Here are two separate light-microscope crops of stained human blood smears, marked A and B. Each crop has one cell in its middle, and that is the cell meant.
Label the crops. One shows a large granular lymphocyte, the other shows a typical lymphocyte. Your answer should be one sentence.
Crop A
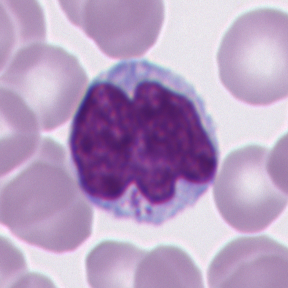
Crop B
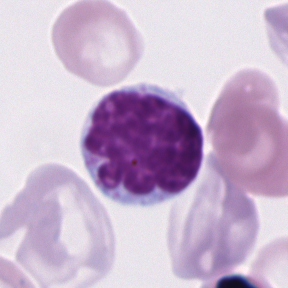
Crop A has a large granular lymphocyte at its centre, and crop B has a typical lymphocyte.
